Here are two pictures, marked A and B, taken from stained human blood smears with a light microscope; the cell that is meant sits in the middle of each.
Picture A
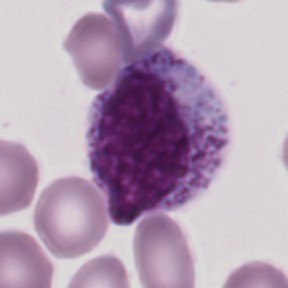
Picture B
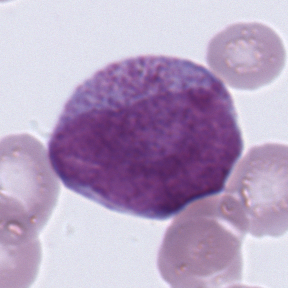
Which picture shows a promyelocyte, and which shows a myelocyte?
A: myelocyte
B: promyelocyte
